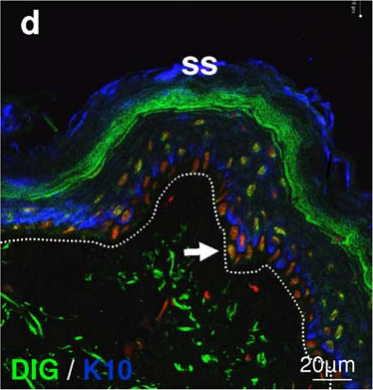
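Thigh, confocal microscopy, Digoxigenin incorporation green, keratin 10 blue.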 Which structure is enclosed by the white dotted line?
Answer: Basement membrane.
